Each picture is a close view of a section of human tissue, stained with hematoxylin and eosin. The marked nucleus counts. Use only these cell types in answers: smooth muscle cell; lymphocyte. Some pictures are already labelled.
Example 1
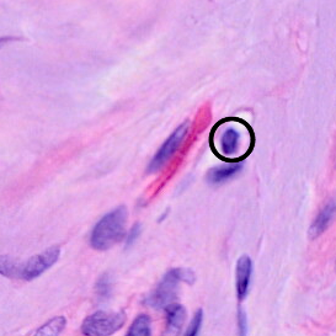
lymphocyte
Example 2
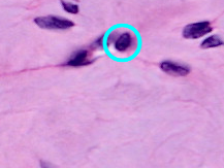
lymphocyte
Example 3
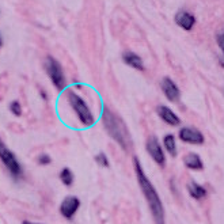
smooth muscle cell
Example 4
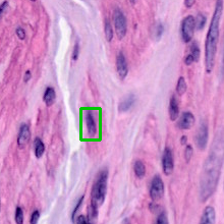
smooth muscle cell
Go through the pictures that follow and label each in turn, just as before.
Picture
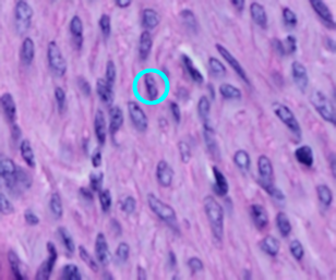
smooth muscle cell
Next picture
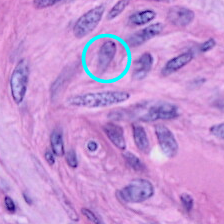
smooth muscle cell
